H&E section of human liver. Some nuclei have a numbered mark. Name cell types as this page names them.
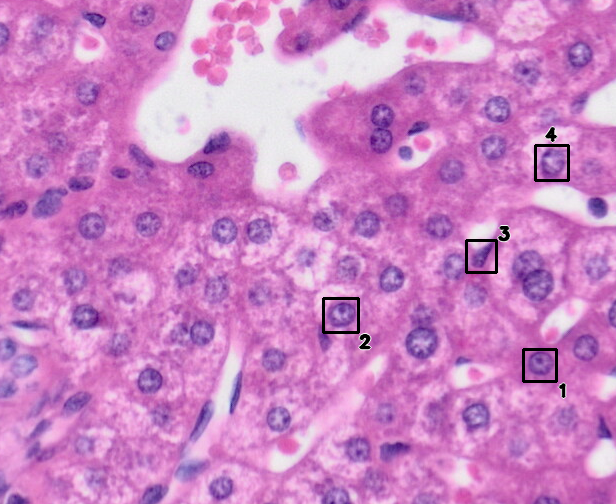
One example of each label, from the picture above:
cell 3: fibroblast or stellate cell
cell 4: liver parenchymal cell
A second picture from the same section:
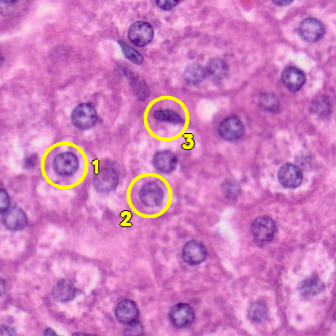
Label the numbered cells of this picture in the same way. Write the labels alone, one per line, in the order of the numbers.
liver parenchymal cell
liver parenchymal cell
fibroblast or stellate cell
